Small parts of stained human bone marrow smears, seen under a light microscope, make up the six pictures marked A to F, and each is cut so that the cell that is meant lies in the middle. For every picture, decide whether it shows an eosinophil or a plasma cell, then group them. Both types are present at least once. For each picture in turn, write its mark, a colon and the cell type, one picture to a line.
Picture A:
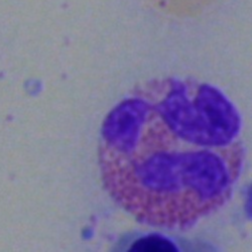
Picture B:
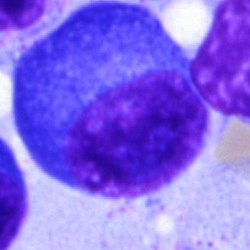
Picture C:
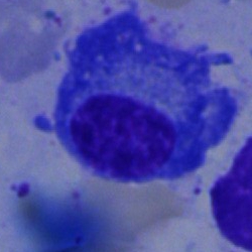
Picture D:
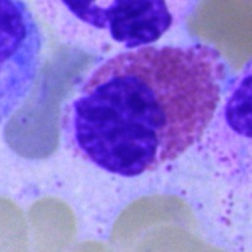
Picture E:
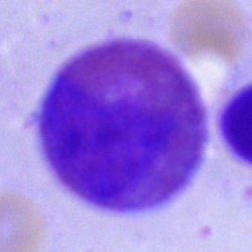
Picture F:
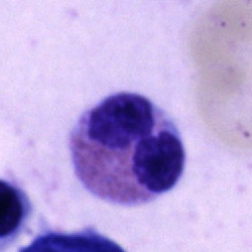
A: eosinophil
B: plasma cell
C: plasma cell
D: eosinophil
E: eosinophil
F: eosinophil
